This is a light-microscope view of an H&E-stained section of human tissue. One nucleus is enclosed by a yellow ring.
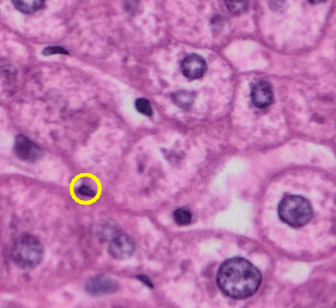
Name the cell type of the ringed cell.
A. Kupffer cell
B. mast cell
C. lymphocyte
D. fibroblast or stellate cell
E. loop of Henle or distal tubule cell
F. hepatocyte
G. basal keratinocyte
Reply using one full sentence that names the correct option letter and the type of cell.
In this case the ringed cell is a fibroblast or stellate cell, so option D is correct.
